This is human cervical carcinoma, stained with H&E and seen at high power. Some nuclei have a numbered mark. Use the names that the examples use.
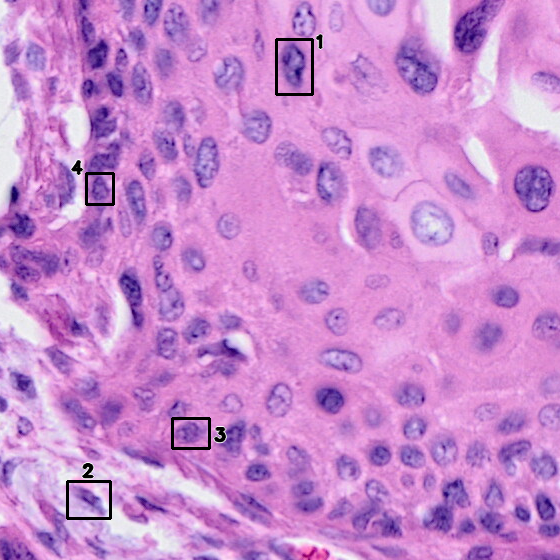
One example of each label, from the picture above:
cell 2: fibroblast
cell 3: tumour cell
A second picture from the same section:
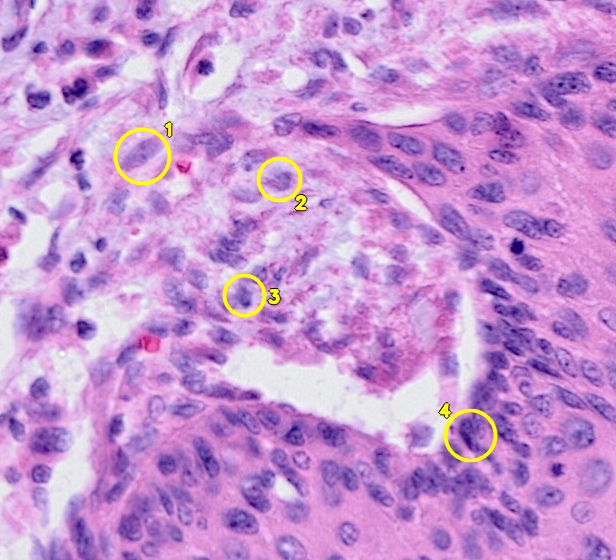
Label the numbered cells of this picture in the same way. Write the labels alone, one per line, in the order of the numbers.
fibroblast
fibroblast
fibroblast
tumour cell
